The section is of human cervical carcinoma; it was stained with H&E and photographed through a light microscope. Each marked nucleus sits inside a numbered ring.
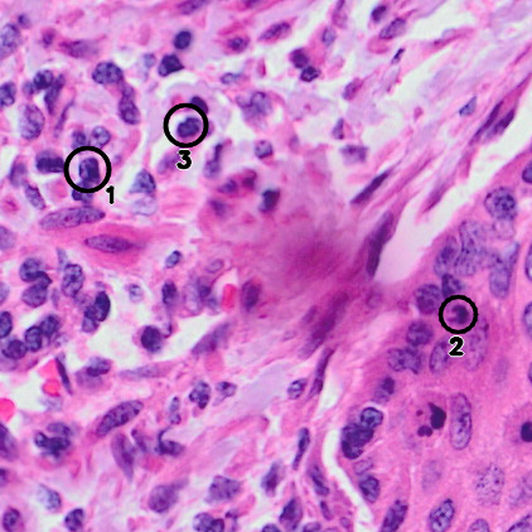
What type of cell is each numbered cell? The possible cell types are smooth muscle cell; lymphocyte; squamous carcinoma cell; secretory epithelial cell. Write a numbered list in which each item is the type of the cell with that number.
1. lymphocyte
2. squamous carcinoma cell
3. lymphocyte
